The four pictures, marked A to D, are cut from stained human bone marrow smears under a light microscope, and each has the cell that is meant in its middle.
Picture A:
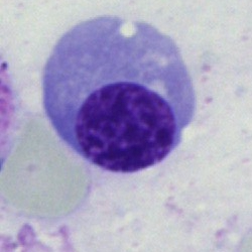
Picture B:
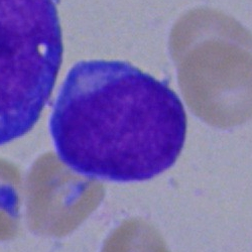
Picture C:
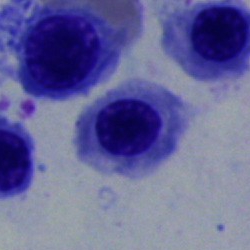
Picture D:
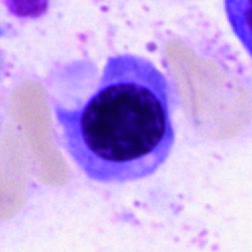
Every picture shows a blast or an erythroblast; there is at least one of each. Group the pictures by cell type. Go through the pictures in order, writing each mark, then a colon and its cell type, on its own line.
A: erythroblast
B: blast
C: erythroblast
D: erythroblast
